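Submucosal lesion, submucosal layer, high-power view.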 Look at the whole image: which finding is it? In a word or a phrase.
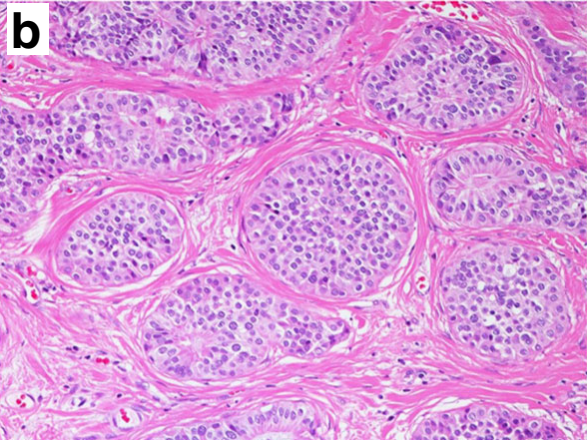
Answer: typical neuroendocrine tumor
